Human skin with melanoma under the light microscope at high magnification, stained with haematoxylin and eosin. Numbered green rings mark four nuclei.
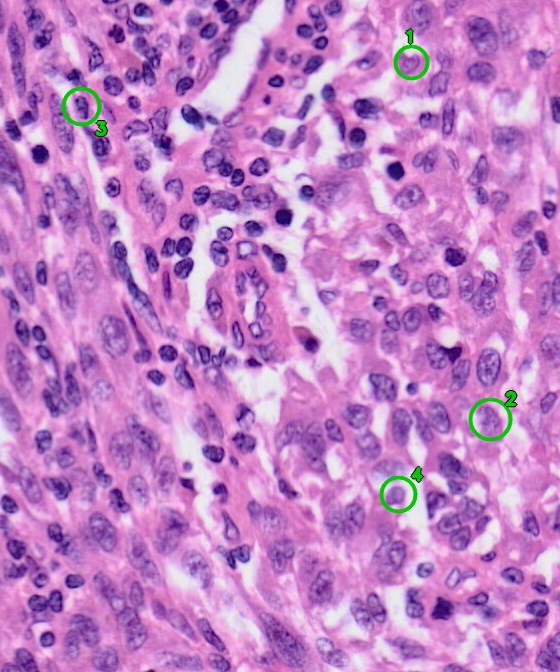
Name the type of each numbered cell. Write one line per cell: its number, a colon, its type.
1: melanoma cell
2: melanoma cell
3: lymphocyte
4: melanoma cell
